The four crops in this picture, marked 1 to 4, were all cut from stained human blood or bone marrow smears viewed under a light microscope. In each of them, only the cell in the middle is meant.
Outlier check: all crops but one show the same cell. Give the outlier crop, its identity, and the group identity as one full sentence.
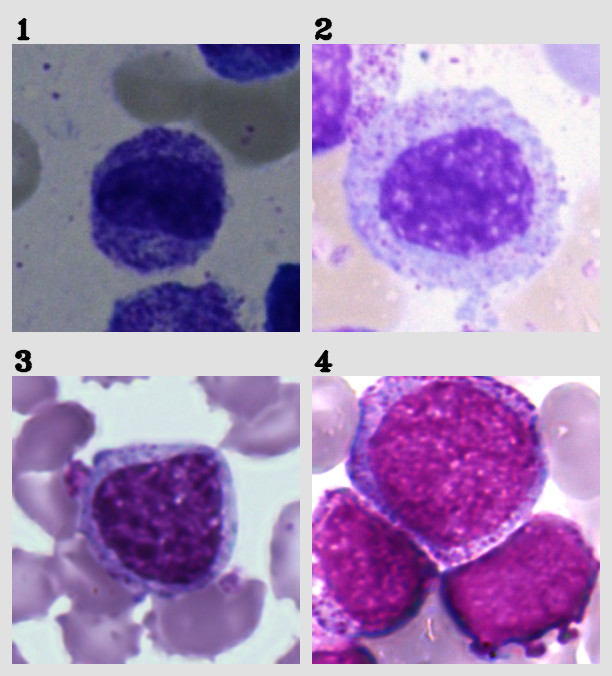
In contrast to the other crops, all of which show myelocytes, crop 4 shows a promyelocyte.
